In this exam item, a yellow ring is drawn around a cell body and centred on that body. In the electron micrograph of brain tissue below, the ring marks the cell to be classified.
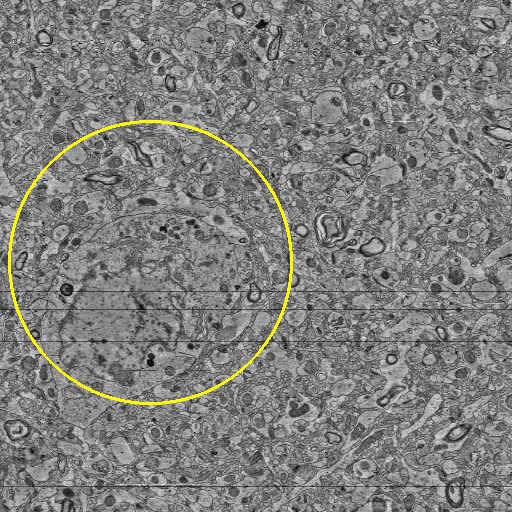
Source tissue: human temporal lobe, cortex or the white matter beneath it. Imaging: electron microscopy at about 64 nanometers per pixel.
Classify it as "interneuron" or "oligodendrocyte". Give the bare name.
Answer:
interneuron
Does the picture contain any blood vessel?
No.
